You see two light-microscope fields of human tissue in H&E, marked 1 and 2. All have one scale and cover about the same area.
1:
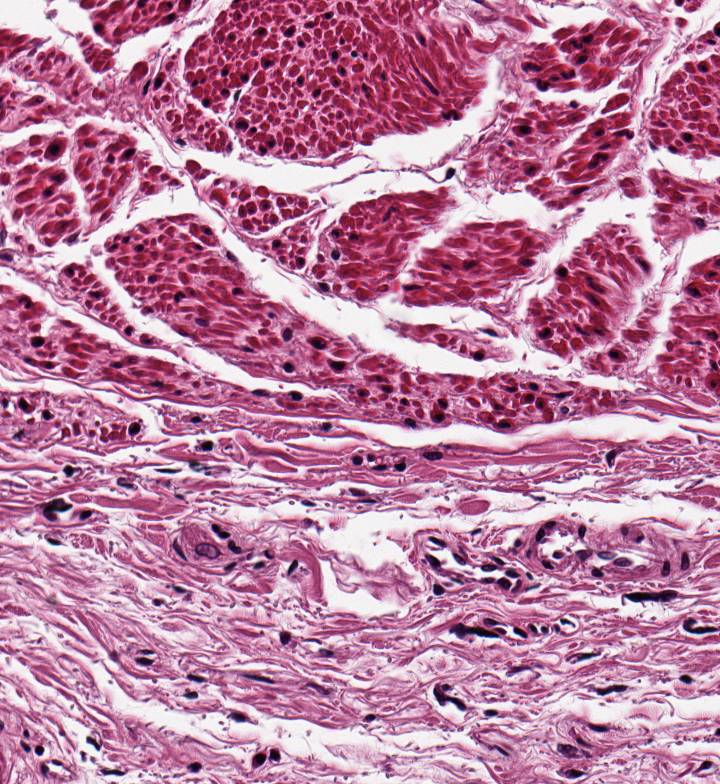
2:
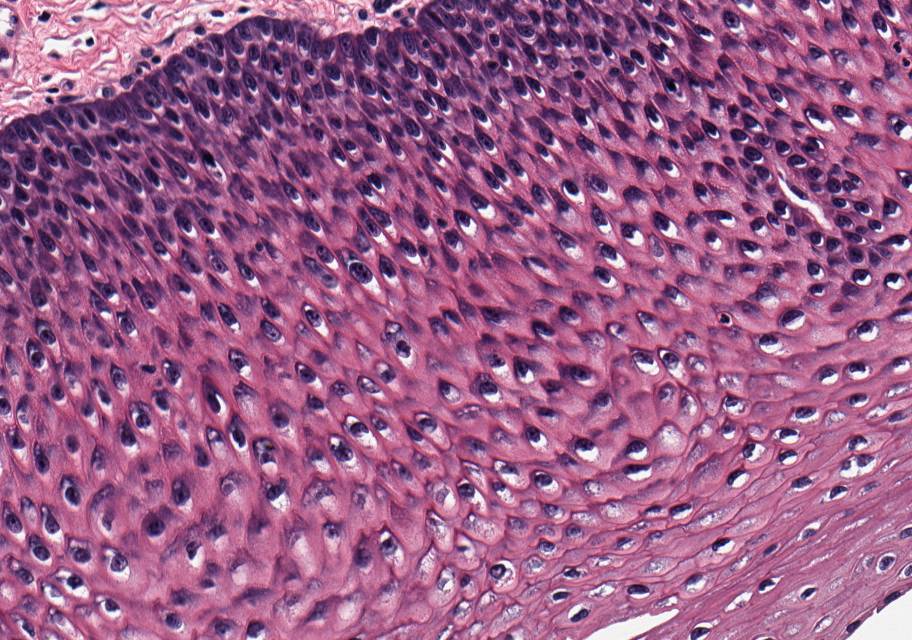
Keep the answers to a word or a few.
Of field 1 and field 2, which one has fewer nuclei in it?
1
